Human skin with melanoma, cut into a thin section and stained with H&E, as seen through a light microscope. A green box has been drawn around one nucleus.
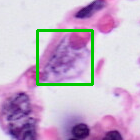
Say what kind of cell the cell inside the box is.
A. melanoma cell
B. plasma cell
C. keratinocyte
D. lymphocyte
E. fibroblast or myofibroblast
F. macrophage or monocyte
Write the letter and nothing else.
A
